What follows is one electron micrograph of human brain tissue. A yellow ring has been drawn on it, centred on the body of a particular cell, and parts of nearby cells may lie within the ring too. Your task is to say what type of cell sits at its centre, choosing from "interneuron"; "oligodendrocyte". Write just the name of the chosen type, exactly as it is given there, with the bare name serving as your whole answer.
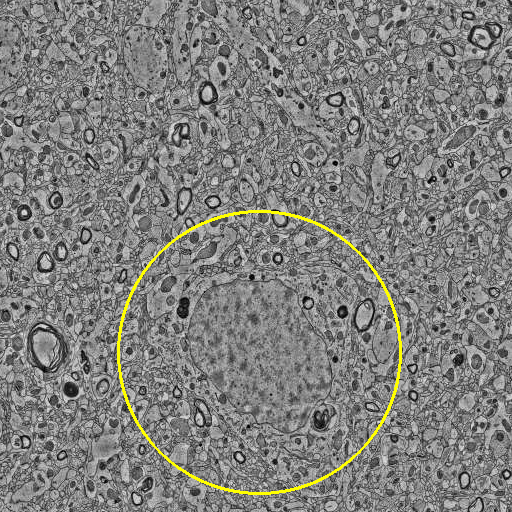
interneuron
